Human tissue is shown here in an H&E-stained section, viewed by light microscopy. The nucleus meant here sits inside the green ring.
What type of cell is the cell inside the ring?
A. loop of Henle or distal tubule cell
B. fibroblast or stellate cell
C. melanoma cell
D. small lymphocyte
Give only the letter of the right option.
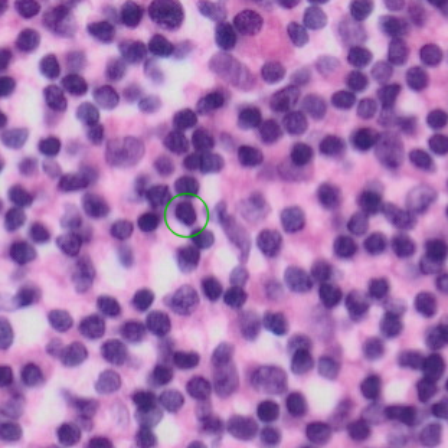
D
